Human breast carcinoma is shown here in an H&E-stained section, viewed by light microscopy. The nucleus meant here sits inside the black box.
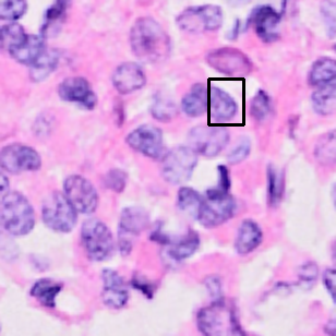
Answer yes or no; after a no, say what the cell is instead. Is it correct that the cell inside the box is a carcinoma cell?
Yes.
